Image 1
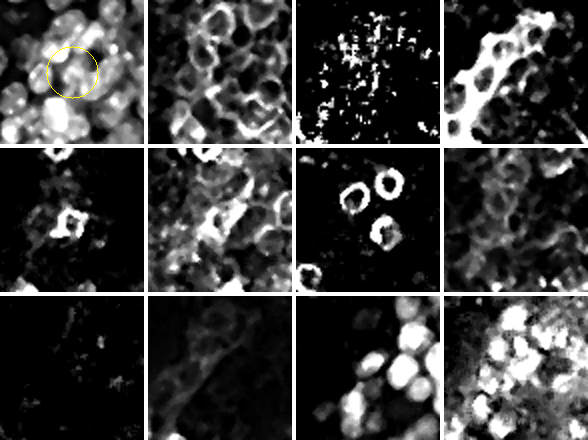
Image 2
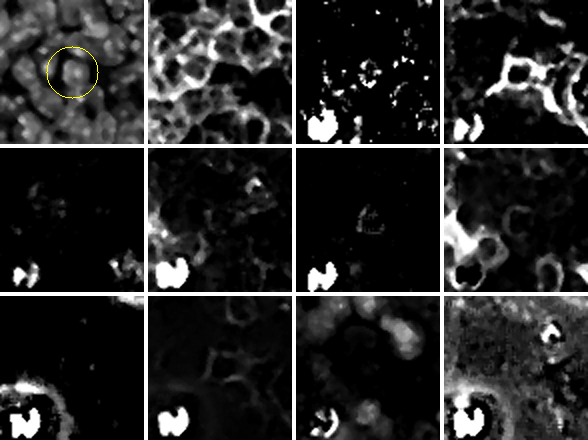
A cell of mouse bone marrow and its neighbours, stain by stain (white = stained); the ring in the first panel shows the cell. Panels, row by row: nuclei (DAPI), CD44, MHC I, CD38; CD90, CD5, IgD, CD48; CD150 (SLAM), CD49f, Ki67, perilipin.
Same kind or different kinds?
Different: the first is a T cell, the second a B cell.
